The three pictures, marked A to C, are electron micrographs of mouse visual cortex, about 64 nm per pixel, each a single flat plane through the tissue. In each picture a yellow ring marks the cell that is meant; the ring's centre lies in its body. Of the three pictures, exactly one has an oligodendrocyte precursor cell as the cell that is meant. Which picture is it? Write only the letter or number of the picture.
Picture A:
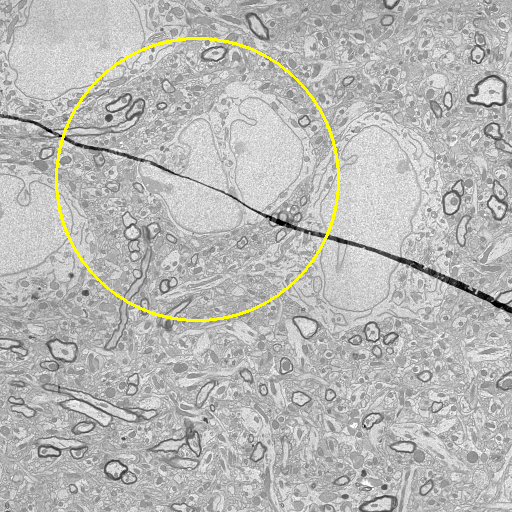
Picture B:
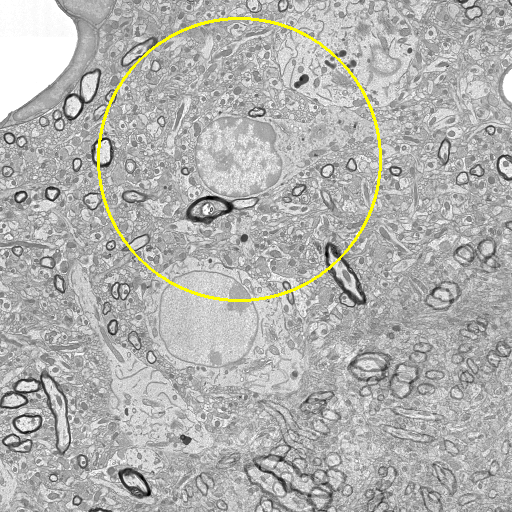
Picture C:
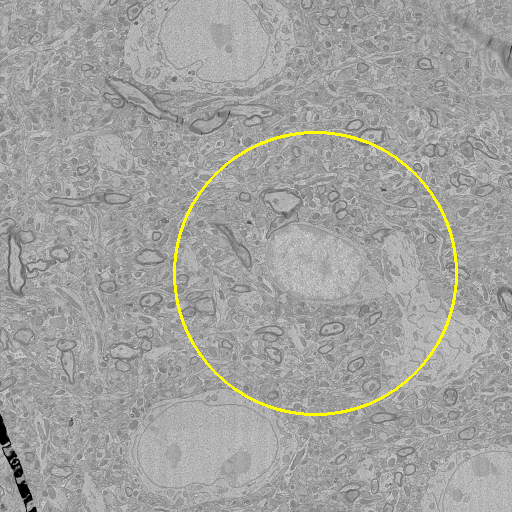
A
